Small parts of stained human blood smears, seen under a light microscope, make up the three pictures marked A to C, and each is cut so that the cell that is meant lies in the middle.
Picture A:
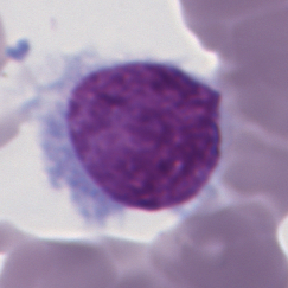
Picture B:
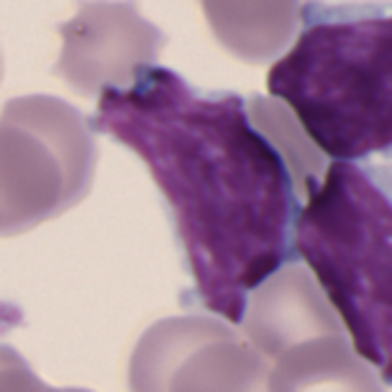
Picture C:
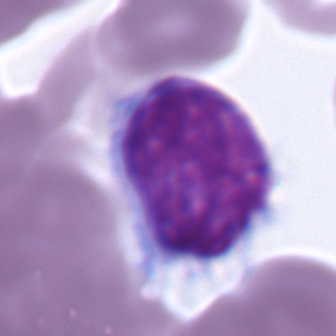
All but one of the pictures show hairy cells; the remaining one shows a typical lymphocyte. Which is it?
B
